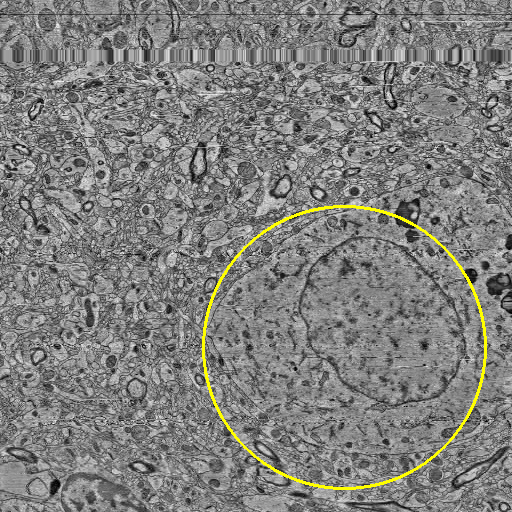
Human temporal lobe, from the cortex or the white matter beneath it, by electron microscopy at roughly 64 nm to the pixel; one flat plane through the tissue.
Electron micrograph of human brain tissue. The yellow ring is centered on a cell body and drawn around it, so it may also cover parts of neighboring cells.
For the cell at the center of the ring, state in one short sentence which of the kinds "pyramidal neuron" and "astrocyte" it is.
This ring is centered on a pyramidal neuron.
